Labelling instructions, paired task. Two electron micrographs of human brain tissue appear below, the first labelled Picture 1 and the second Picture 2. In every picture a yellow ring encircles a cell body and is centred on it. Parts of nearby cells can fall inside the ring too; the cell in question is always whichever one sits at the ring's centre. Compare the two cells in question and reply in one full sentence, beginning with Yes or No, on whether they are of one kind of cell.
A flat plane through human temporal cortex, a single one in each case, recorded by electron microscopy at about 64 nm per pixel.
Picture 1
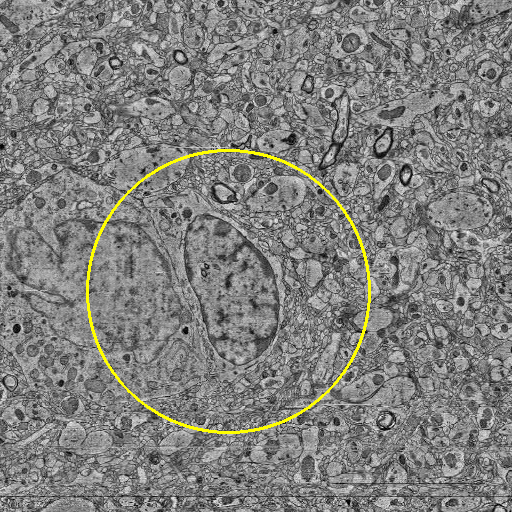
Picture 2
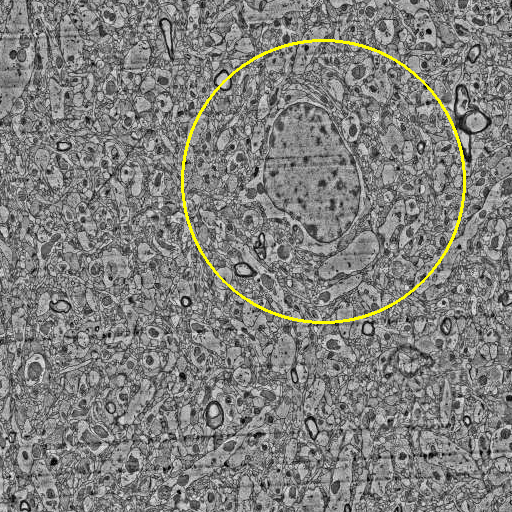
Yes, the two cells at the ring centres in Picture 1 and Picture 2 are of one kind.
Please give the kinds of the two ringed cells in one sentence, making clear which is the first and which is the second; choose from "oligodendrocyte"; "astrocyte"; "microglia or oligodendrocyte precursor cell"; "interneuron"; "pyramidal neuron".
Both the first and the second picture show a microglial cell or oligodendrocyte precursor cell in the ring.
